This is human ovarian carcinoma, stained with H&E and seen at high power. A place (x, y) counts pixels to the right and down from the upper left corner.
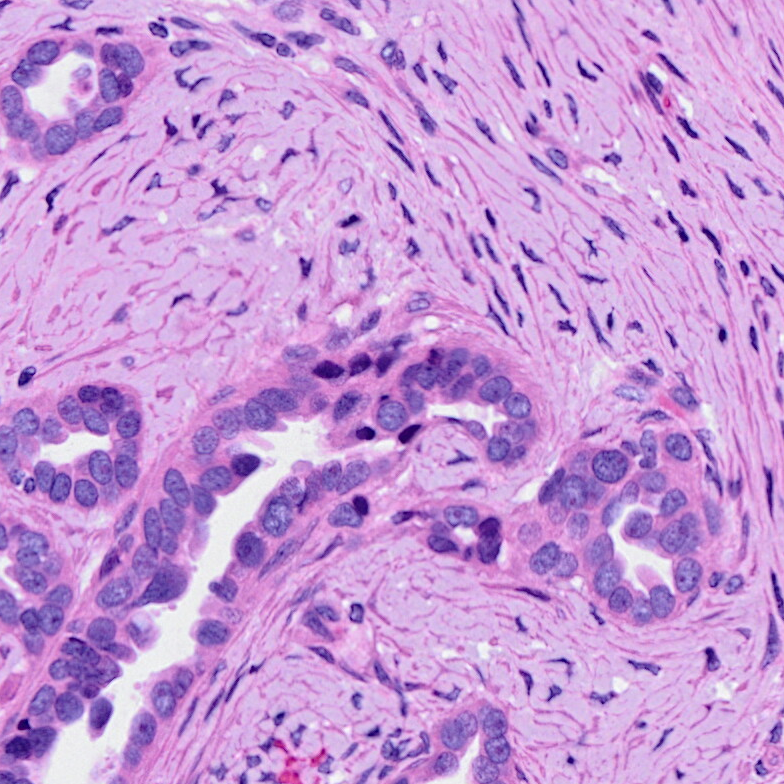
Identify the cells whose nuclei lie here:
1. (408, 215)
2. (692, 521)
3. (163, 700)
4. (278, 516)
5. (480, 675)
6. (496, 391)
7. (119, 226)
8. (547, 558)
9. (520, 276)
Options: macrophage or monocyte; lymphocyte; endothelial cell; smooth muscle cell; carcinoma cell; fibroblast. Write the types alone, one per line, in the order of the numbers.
fibroblast
carcinoma cell
carcinoma cell
carcinoma cell
fibroblast
carcinoma cell
fibroblast
carcinoma cell
fibroblast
